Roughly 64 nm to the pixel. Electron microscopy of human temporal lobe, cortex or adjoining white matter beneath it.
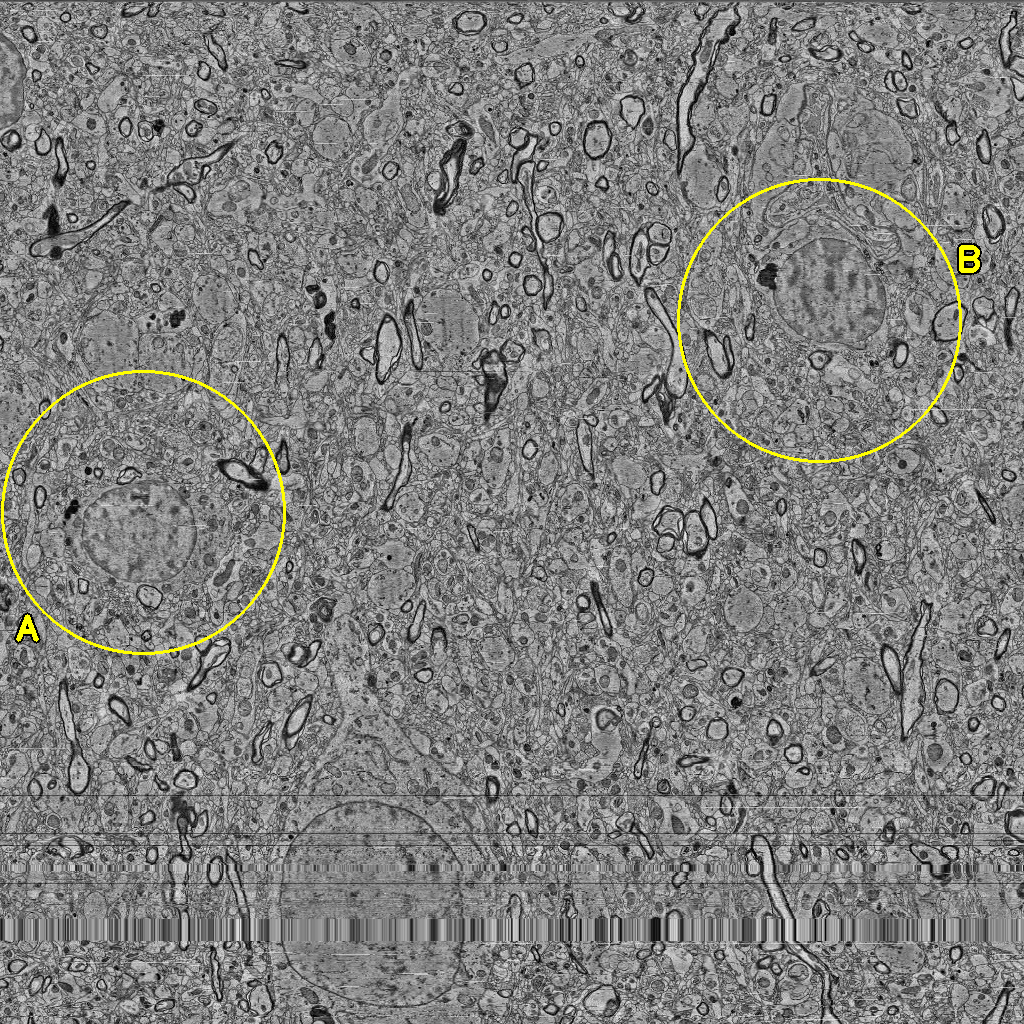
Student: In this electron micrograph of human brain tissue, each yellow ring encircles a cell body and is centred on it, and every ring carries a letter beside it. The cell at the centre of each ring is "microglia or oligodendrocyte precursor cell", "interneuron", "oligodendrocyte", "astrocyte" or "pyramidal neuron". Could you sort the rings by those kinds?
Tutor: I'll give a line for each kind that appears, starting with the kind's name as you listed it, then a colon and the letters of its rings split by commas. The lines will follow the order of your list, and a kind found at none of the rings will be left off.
oligodendrocyte: A, B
